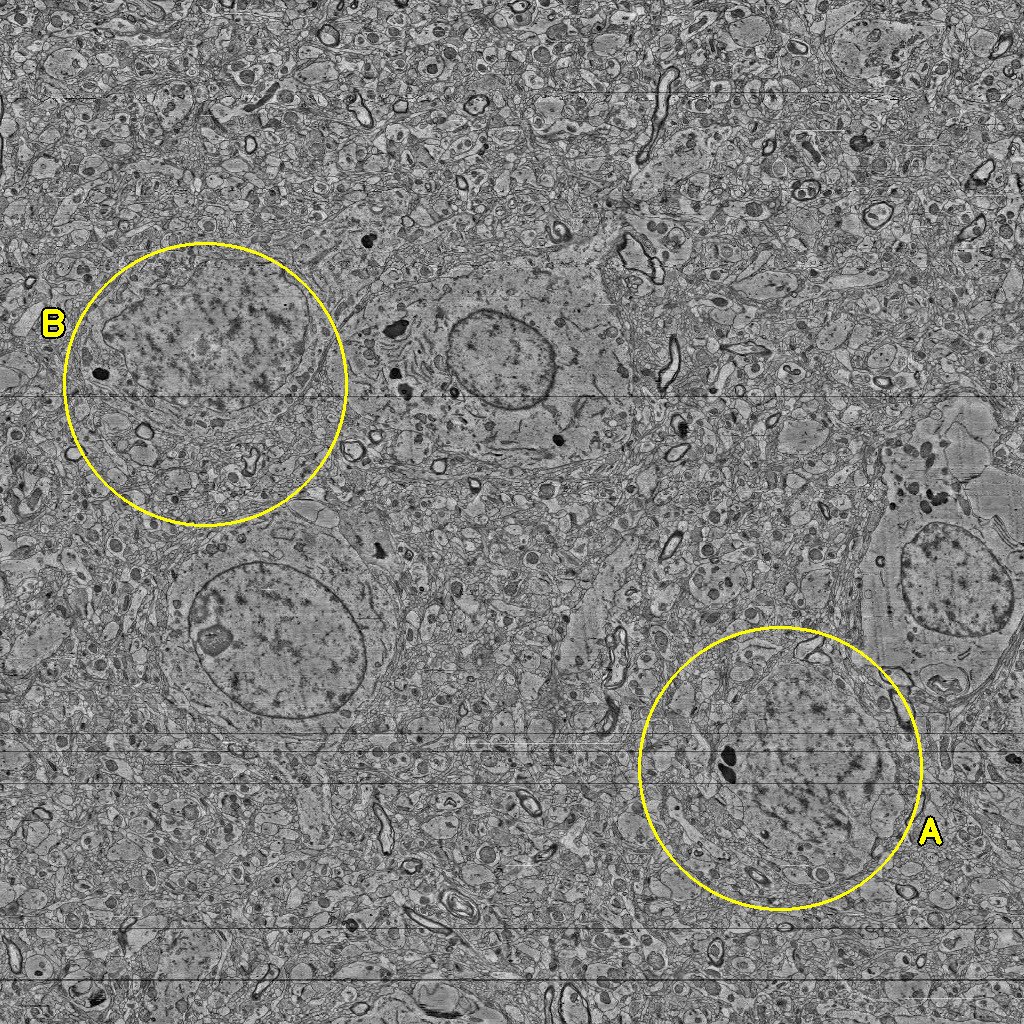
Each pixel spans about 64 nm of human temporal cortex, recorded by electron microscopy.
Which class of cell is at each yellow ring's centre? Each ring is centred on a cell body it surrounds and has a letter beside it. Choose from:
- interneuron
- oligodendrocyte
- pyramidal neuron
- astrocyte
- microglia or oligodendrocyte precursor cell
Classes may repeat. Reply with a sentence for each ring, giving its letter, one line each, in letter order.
The ring lettered A is centred on an interneuron.
The ring lettered B is centred on an interneuron.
